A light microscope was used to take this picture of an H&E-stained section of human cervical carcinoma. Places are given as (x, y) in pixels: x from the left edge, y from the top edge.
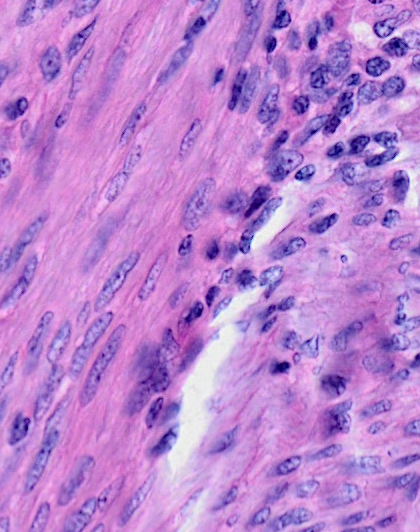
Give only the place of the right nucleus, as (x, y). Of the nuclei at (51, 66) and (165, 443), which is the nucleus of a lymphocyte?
(165, 443)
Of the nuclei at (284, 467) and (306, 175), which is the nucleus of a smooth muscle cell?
(284, 467)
